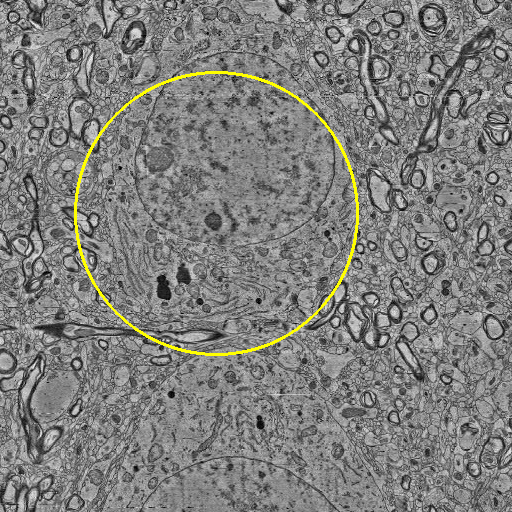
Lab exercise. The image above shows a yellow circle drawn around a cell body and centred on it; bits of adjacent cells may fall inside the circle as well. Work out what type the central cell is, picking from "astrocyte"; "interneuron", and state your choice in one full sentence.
In the image above, the cell at the centre of the yellow circle is an interneuron.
